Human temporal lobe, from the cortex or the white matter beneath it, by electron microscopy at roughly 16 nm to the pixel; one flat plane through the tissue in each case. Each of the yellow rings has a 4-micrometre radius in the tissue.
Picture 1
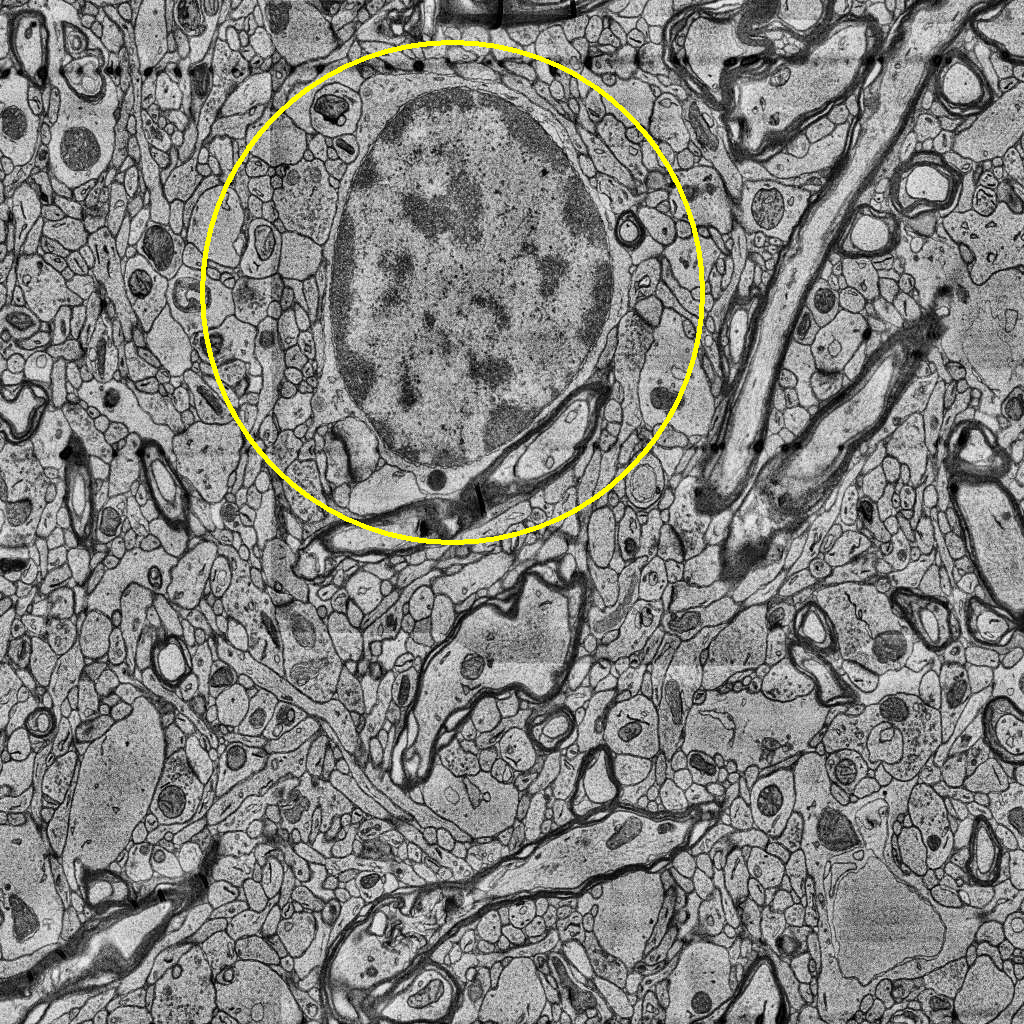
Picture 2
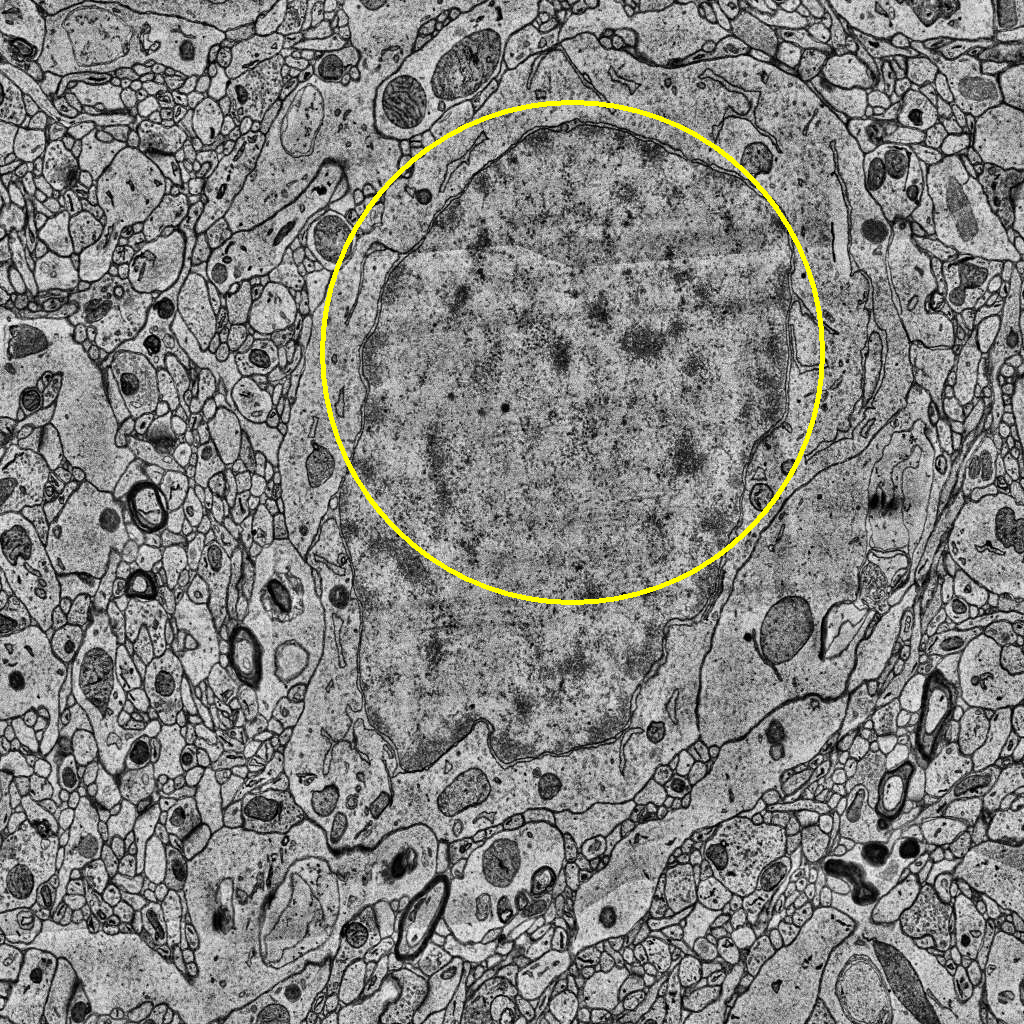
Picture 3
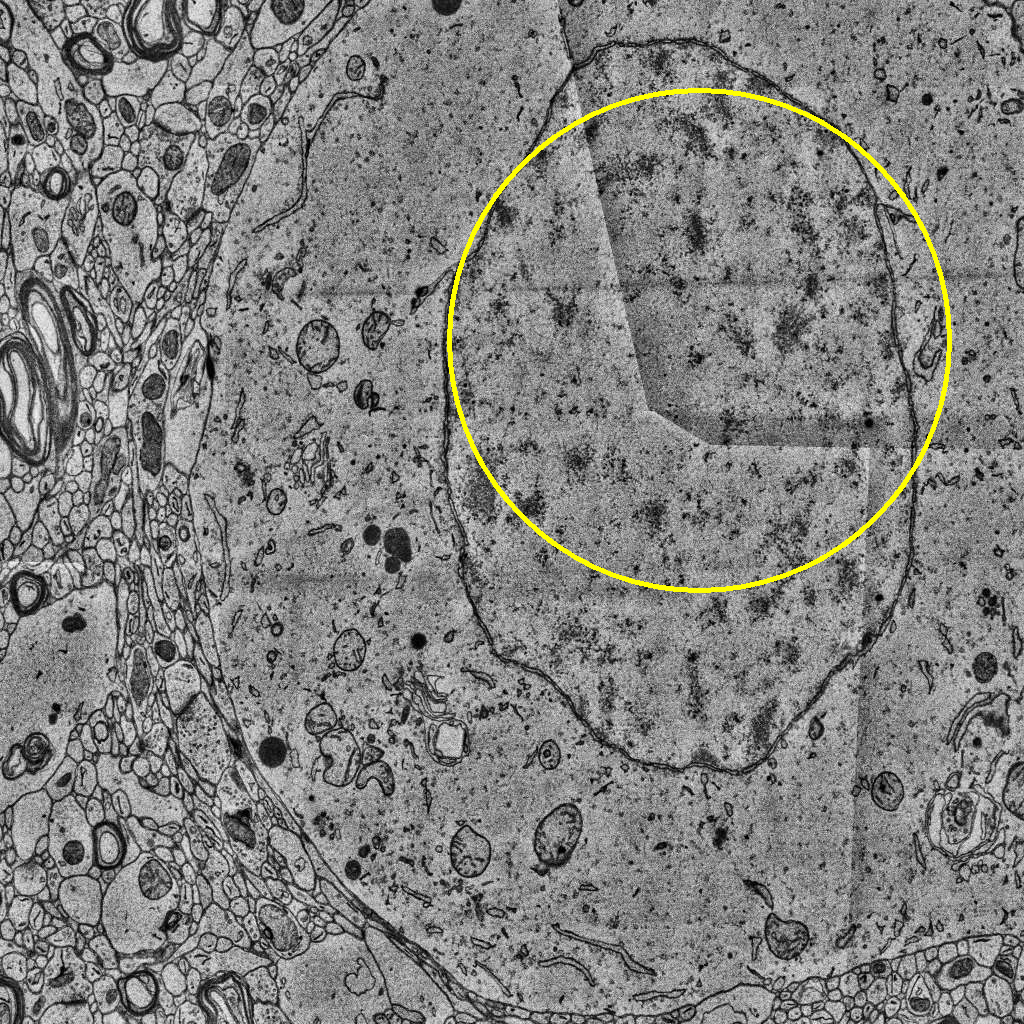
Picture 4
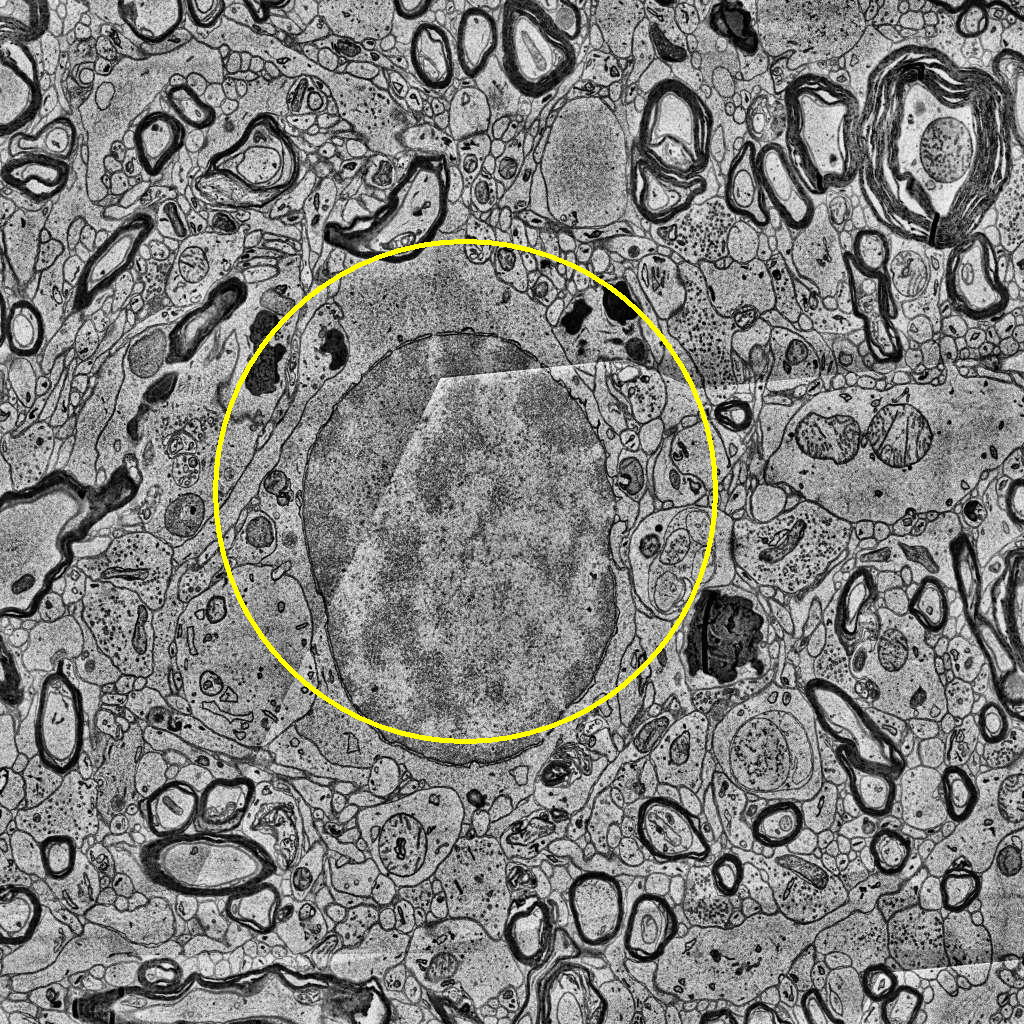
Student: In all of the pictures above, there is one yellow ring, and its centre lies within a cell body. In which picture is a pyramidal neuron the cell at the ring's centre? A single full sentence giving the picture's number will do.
Picture number 3 has the centre of its ring lying inside the wanted cell.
